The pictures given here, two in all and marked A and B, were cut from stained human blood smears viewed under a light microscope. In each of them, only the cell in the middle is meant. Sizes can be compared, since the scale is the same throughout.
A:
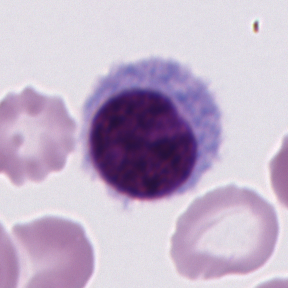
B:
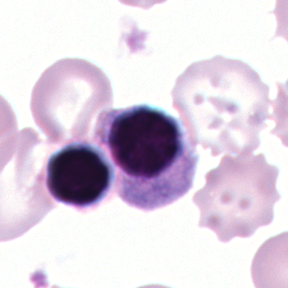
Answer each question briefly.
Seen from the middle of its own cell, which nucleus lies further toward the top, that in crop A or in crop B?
B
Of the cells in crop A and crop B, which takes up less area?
B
